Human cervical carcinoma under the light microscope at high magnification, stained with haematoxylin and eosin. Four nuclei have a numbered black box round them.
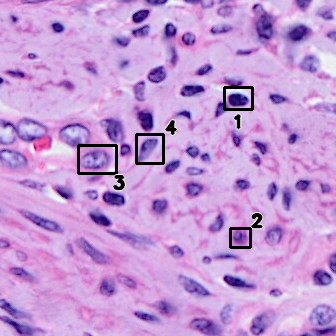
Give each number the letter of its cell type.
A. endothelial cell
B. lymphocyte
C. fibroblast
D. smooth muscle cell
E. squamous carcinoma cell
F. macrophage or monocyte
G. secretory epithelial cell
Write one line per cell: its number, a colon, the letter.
1: B
2: D
3: A
4: C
